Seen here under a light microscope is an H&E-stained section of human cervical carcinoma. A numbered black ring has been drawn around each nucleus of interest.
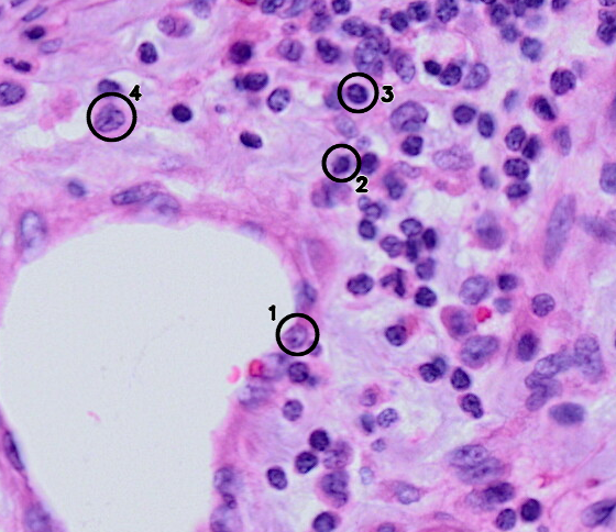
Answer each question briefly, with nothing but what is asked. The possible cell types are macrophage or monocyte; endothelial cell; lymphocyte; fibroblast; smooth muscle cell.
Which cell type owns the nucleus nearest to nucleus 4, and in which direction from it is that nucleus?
a lymphocyte above nucleus 4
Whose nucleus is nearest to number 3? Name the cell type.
lymphocyte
